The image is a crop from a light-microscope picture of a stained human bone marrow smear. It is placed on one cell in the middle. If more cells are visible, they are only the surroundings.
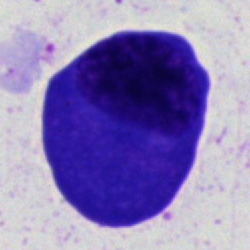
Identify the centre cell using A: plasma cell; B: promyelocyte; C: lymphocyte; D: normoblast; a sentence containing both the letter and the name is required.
The best answer is option A, since the cell in the middle is a plasma cell.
